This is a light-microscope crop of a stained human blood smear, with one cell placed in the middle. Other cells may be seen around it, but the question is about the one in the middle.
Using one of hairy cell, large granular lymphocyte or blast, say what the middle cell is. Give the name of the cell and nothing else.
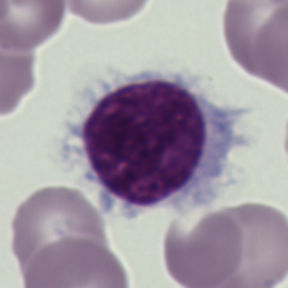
hairy cell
